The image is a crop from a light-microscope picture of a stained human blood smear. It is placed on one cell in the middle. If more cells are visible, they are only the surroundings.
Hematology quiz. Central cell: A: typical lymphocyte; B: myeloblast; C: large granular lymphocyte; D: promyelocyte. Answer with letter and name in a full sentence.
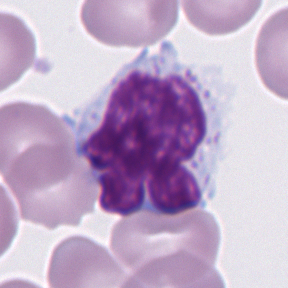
Here the central cell is a large granular lymphocyte, and option C is correct.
